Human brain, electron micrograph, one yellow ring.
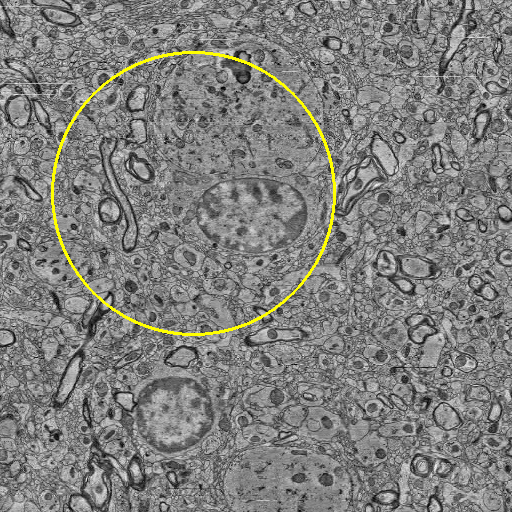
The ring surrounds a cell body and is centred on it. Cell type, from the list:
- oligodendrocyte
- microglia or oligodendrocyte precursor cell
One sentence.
The yellow ring circles an oligodendrocyte.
